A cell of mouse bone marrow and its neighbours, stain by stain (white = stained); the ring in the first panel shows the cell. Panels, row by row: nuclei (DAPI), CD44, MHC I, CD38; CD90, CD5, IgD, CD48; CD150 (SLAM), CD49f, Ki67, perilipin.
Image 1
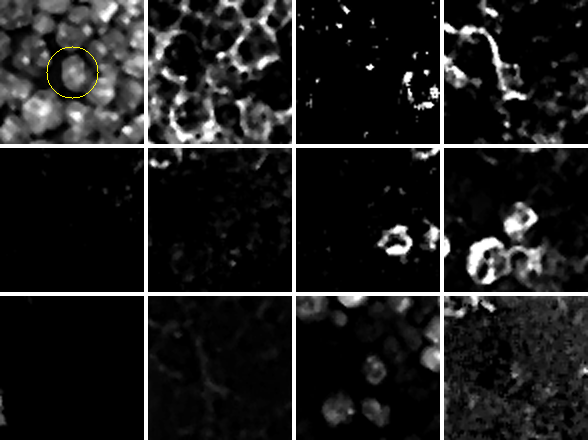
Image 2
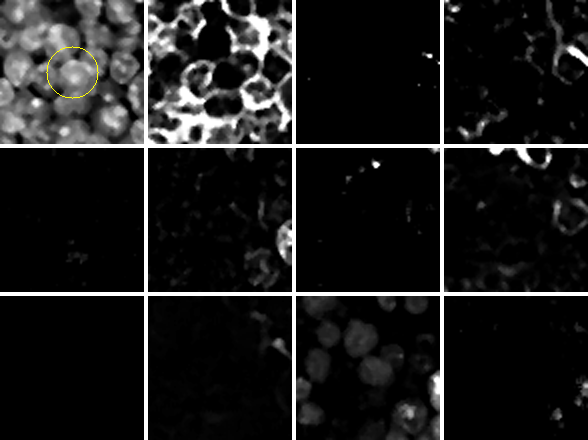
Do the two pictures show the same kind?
No: a monocyte, then an erythroblast.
